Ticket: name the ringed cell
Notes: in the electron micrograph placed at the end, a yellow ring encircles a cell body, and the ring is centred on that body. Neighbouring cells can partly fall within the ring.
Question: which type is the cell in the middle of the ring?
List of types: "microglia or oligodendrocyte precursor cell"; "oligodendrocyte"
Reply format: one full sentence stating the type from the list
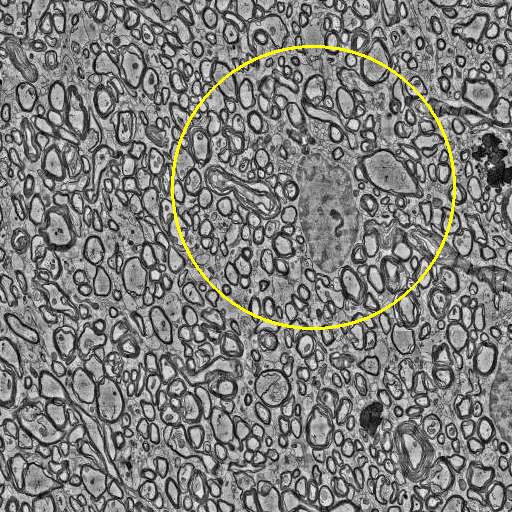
The cell sitting at the centre of the yellow ring is an oligodendrocyte.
